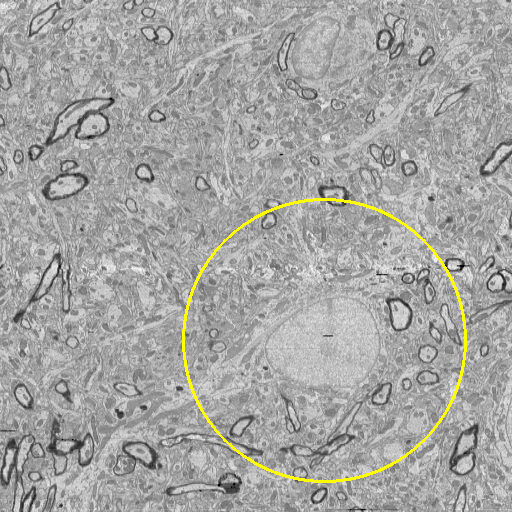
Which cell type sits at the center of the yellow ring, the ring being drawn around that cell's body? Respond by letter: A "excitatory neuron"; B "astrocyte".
B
